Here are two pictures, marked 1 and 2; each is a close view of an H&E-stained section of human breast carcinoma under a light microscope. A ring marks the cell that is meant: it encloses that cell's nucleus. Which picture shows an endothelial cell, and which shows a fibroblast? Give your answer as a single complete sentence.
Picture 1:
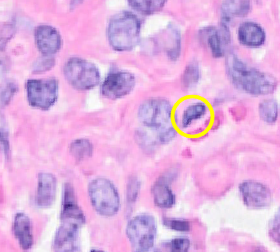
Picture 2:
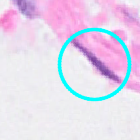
It is picture 1 that shows an endothelial cell, and picture 2 that shows a fibroblast.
